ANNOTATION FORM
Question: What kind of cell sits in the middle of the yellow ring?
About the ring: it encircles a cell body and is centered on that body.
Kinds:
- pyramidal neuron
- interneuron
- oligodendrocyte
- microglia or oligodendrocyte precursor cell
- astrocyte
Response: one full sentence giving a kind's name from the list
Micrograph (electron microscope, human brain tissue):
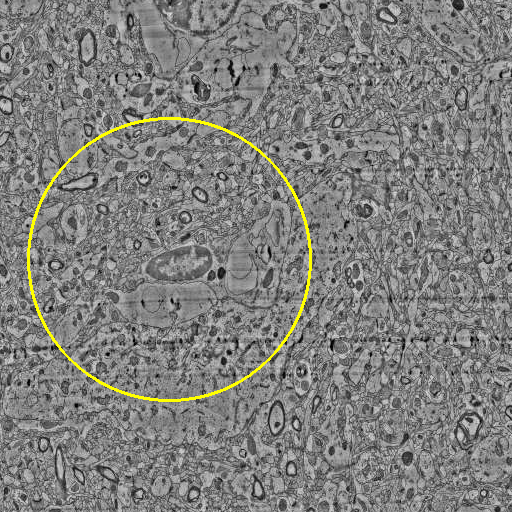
The kind of cell found at the center of the yellow ring in the micrograph is a microglial cell or oligodendrocyte precursor cell.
